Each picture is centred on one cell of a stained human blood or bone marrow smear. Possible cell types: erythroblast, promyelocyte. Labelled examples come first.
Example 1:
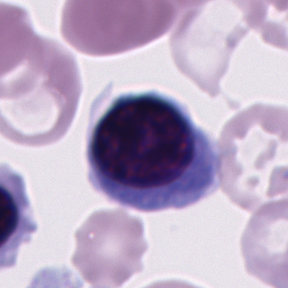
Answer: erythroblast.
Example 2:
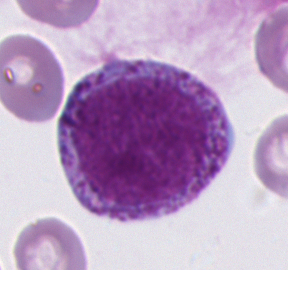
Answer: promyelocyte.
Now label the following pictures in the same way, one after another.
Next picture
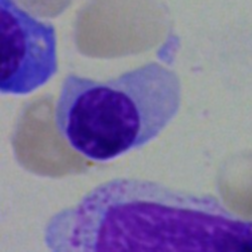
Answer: erythroblast.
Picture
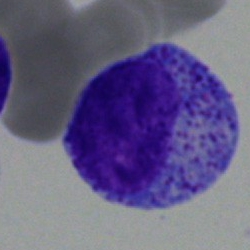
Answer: promyelocyte.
